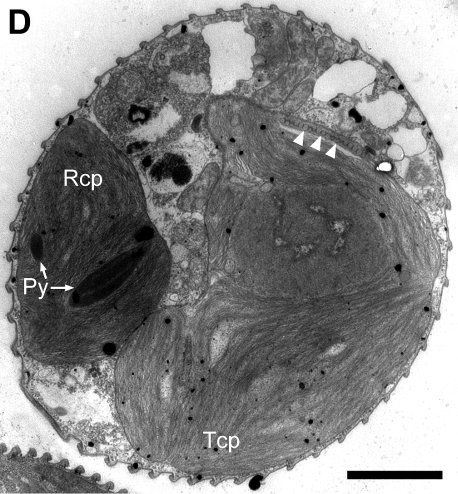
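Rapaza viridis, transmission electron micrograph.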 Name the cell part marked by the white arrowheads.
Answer: Eyespot.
